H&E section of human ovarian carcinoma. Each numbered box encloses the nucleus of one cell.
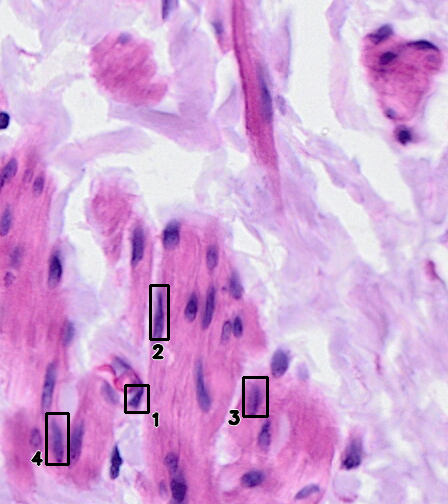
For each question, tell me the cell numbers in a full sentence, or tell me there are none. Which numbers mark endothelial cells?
Of the cells marked with numbers, cell 1 is the only one that is an endothelial cell.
